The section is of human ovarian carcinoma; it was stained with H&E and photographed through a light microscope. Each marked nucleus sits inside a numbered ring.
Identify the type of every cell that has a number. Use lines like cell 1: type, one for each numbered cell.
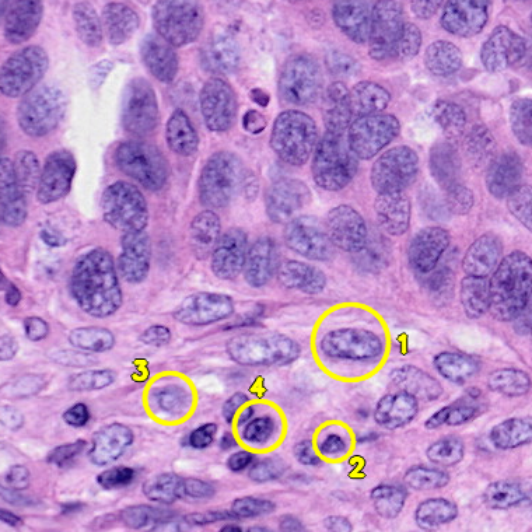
cell 1: fibroblast
cell 2: lymphocyte
cell 3: fibroblast
cell 4: lymphocyte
